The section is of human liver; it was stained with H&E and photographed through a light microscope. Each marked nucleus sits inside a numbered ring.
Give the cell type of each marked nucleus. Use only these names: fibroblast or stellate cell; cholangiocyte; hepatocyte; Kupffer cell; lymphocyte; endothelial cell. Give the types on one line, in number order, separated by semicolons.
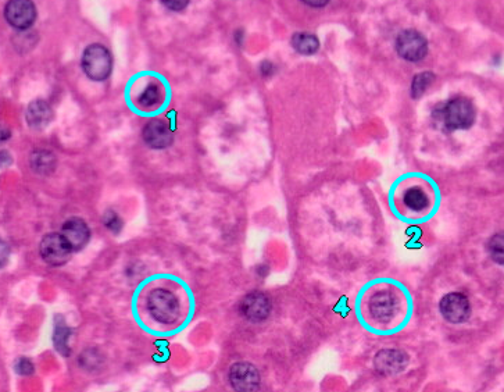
fibroblast or stellate cell; lymphocyte; hepatocyte; hepatocyte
